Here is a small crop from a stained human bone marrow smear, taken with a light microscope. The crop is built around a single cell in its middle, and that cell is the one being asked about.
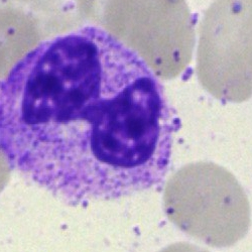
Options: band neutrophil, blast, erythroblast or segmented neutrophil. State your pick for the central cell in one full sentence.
Answering briefly, the cell in the middle is a segmented neutrophil.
